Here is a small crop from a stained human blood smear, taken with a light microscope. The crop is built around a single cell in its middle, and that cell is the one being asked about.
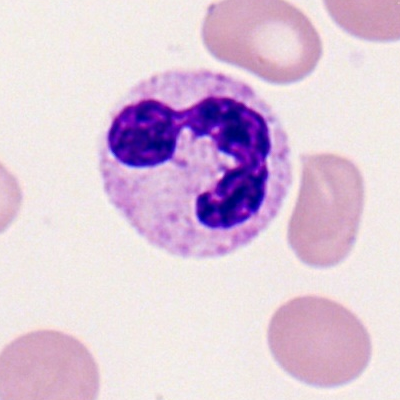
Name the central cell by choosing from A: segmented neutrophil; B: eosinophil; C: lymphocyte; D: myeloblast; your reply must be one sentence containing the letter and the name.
That middle cell is a segmented neutrophil, and option A is therefore correct.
